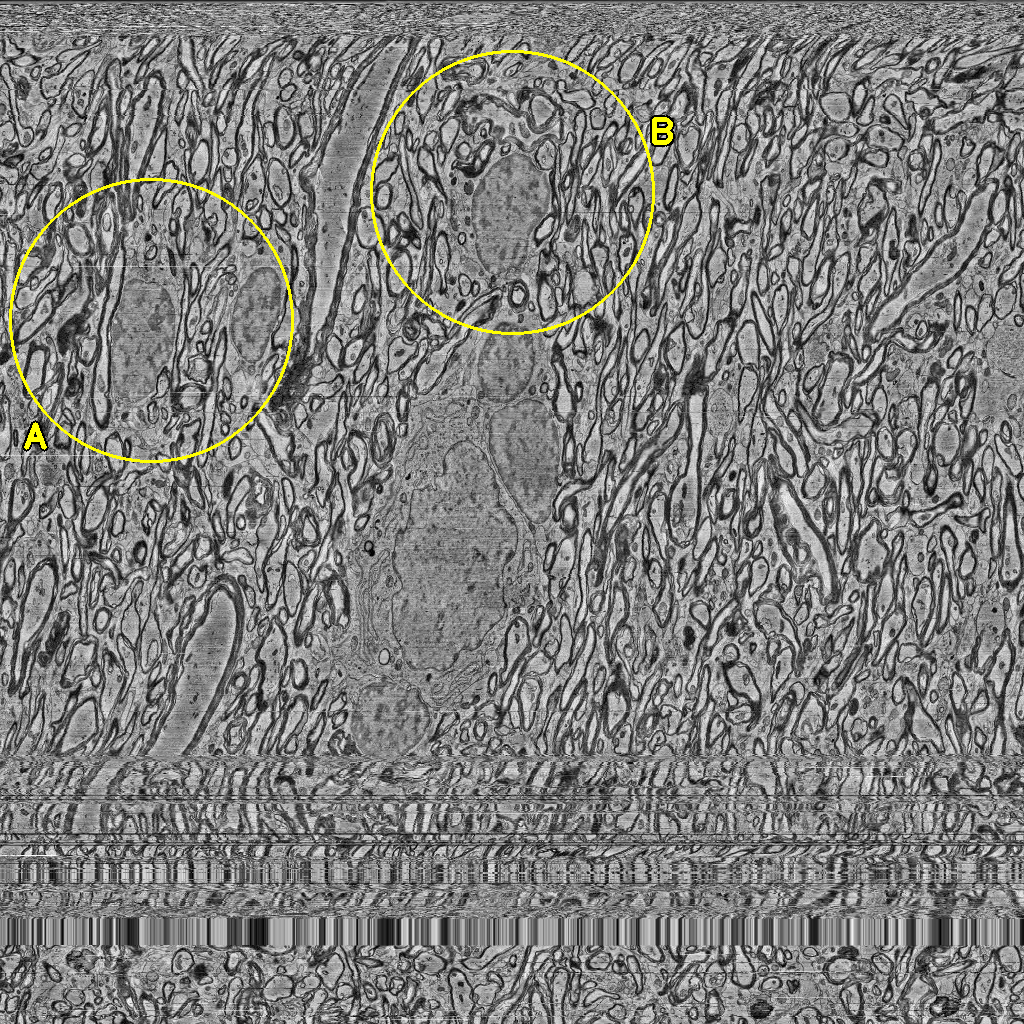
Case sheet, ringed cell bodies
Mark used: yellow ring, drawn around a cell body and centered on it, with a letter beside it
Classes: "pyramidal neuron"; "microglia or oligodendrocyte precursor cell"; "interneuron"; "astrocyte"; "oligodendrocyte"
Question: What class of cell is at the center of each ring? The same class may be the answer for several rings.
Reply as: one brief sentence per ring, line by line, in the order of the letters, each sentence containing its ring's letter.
Ring A has an oligodendrocyte at its center.
Ring B has an oligodendrocyte at its center.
